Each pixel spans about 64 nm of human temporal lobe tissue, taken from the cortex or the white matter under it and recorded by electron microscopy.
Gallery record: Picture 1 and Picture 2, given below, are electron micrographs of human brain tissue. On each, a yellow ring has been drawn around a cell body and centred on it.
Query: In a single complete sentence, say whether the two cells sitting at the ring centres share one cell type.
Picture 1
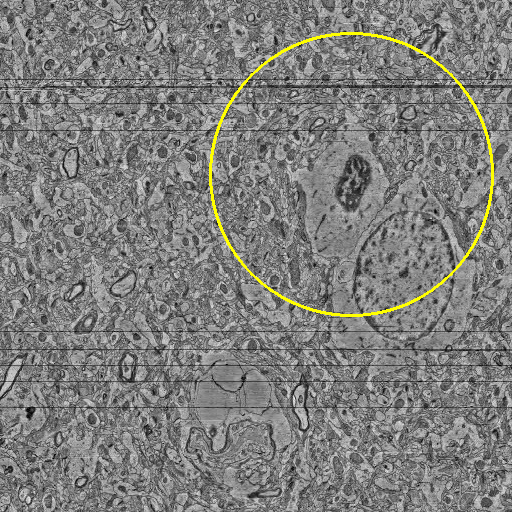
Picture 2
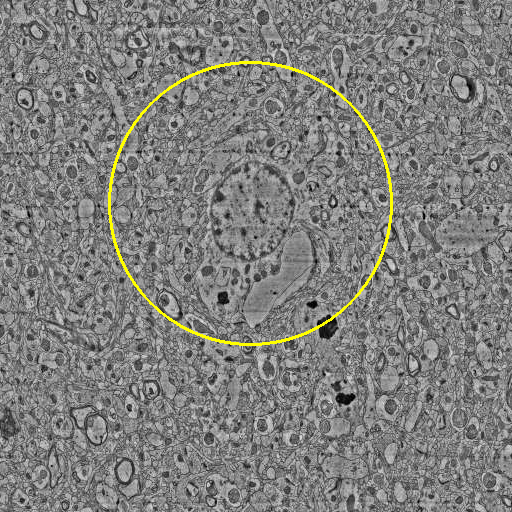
Yes, in both pictures the cell at the ring's centre is of one and the same type.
